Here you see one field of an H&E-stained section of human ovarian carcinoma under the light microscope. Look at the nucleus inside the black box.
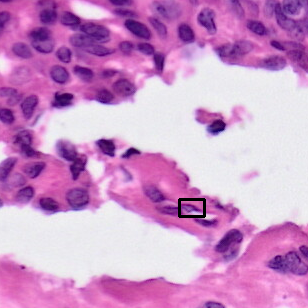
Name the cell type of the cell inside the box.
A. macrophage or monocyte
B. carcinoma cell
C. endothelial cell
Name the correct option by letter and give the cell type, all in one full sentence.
Best answer: option C, with the cell inside the box being an endothelial cell.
